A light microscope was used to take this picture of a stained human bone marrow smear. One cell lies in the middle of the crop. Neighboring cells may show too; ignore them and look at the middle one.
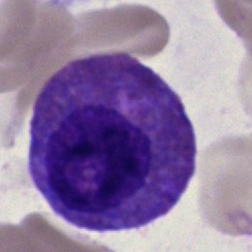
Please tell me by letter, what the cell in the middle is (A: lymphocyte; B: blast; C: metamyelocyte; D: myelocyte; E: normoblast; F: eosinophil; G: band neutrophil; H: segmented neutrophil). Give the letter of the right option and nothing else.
F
